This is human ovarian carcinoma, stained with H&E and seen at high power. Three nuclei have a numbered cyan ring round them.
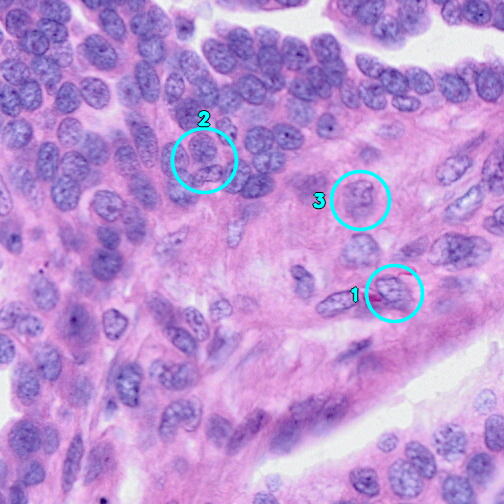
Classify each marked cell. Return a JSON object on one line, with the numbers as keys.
{"1": "endothelial cell", "2": "carcinoma cell", "3": "fibroblast"}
